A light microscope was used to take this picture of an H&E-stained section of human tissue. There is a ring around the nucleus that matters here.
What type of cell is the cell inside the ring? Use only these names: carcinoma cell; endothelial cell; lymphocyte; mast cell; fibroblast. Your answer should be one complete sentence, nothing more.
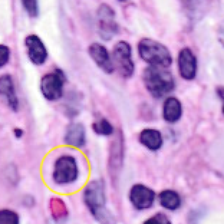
For the purposes of cell typing, the cell inside the ring is categorized as a lymphocyte.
